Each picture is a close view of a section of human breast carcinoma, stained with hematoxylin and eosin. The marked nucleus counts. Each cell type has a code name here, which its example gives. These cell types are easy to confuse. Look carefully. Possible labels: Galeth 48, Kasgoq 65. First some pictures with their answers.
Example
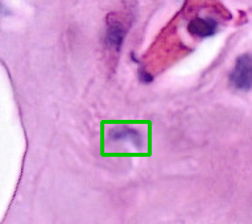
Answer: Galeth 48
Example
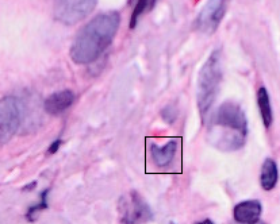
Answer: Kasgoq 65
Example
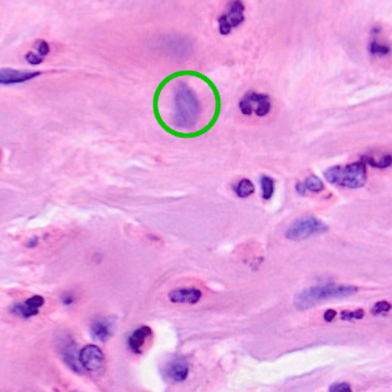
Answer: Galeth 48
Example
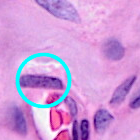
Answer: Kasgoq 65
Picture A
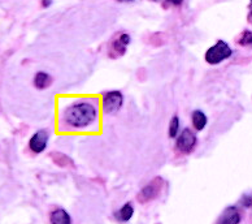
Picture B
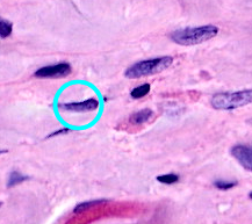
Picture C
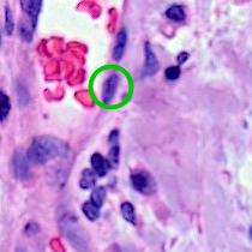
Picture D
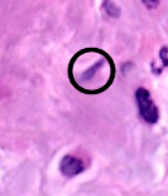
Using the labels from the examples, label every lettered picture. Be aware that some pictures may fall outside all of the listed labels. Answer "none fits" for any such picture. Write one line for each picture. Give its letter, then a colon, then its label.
A: none fits
B: Galeth 48
C: Kasgoq 65
D: Galeth 48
